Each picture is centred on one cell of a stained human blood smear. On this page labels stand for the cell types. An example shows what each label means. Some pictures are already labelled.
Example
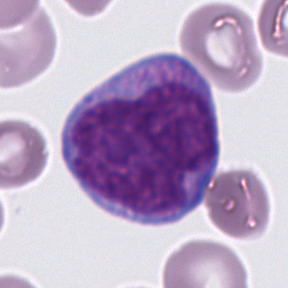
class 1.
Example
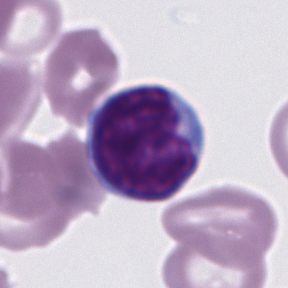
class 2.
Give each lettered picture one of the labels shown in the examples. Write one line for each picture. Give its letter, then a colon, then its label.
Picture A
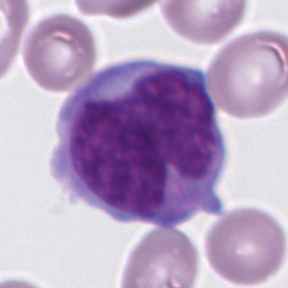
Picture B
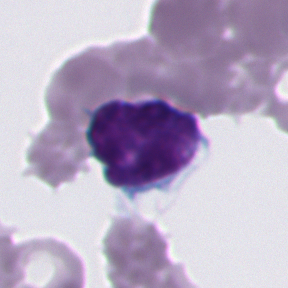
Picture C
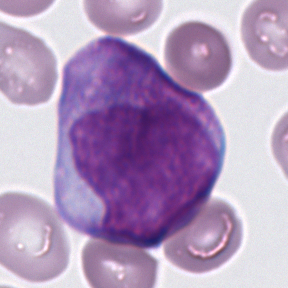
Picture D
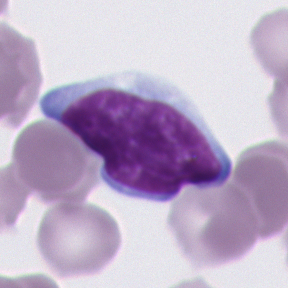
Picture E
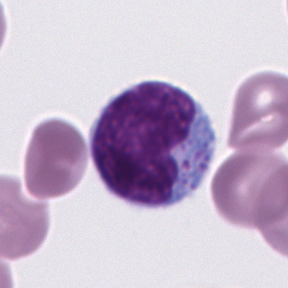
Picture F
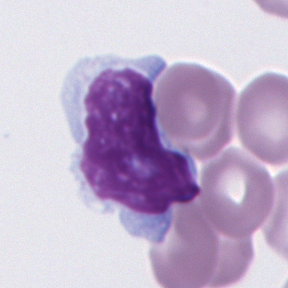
A: class 1.
B: class 2.
C: class 1.
D: class 2.
E: class 2.
F: class 2.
